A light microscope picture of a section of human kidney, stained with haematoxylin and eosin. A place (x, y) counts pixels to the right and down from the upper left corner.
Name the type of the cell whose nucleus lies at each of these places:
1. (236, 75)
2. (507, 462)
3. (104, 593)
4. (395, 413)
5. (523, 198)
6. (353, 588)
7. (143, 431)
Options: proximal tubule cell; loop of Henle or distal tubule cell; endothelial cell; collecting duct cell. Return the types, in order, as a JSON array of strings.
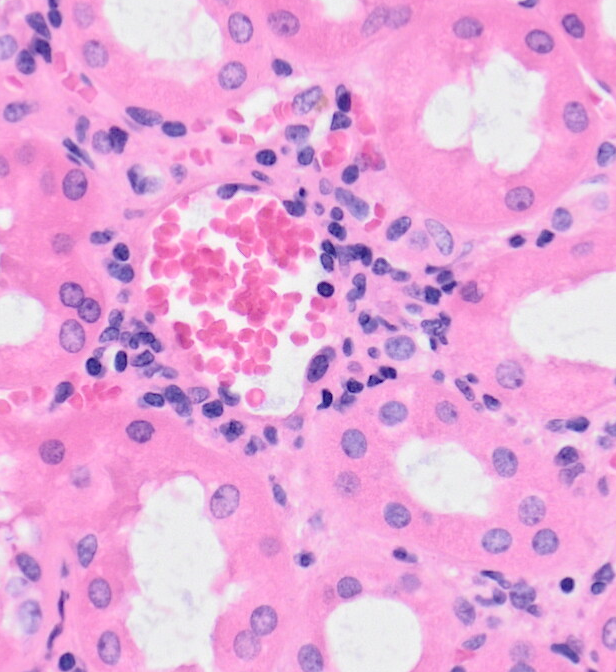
["proximal tubule cell", "loop of Henle or distal tubule cell", "proximal tubule cell", "loop of Henle or distal tubule cell", "proximal tubule cell", "loop of Henle or distal tubule cell", "proximal tubule cell"]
